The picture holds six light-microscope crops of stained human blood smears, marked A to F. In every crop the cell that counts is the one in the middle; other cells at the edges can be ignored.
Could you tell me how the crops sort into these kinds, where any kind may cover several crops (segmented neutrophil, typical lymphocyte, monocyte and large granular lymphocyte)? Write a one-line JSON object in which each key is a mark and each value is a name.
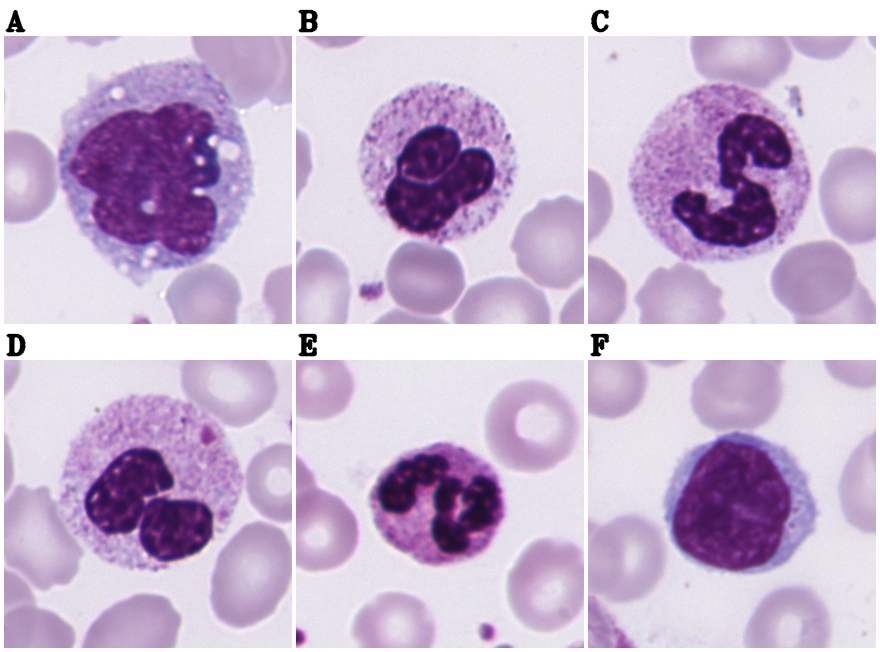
{"A": "monocyte", "B": "segmented neutrophil", "C": "segmented neutrophil", "D": "segmented neutrophil", "E": "segmented neutrophil", "F": "typical lymphocyte"}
